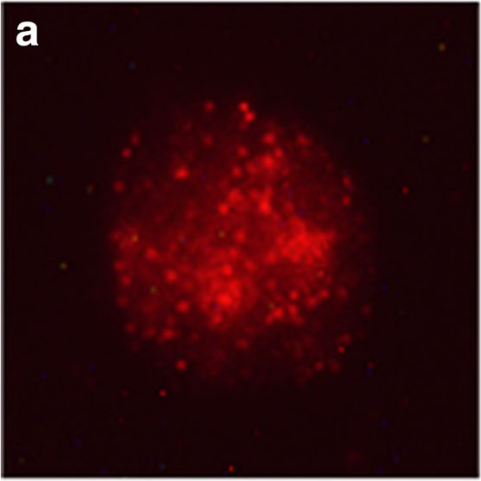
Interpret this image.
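The red label is not even but breaks up into many small bright dots and clumps scattered over the whole cell. The dots are denser and brighter toward the centre and lower part of the cell and fainter toward its rim. A few isolated specks lie outside the cell in the background.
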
